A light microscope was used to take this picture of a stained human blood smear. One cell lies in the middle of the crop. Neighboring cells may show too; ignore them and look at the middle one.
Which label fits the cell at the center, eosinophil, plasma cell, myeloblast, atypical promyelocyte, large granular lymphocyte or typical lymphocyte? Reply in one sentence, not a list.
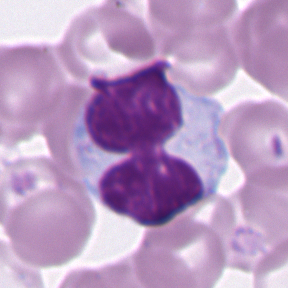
Within this crop, a typical lymphocyte occupies the central position.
